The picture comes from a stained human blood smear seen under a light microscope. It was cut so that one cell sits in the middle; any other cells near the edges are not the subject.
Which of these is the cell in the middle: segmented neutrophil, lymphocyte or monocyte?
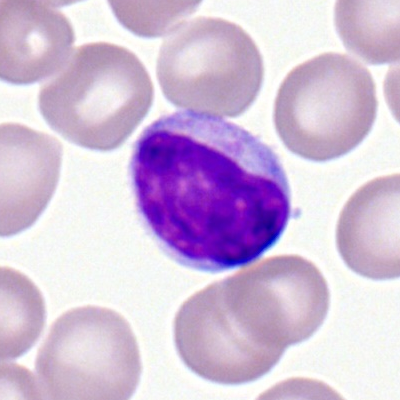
lymphocyte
